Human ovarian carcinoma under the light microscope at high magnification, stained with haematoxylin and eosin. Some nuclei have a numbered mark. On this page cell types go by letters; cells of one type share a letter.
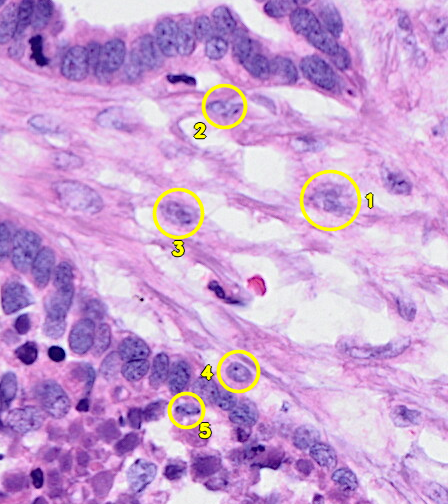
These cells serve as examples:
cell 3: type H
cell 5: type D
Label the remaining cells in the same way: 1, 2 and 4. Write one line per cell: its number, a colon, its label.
1: type H
2: type H
4: type D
